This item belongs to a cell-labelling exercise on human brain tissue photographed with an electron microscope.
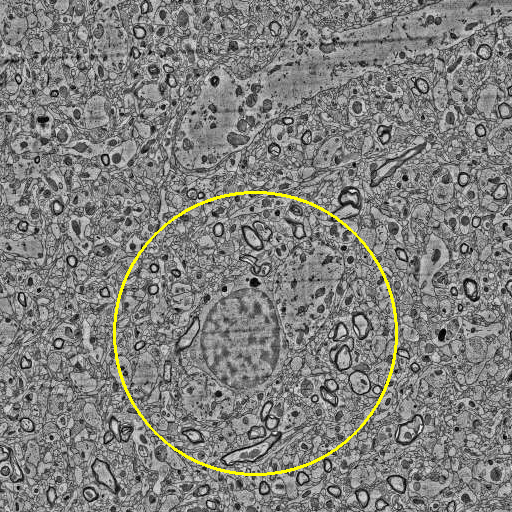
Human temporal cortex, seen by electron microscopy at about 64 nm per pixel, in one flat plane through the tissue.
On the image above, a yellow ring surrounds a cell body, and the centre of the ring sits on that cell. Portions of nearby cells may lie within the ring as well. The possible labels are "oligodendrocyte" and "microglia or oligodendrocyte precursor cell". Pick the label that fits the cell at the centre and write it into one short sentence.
This cell should be labelled as an oligodendrocyte.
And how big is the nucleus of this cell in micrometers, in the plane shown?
The ringed cell's nucleus is about 6 micrometres long and 5 micrometres wide in this plane.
